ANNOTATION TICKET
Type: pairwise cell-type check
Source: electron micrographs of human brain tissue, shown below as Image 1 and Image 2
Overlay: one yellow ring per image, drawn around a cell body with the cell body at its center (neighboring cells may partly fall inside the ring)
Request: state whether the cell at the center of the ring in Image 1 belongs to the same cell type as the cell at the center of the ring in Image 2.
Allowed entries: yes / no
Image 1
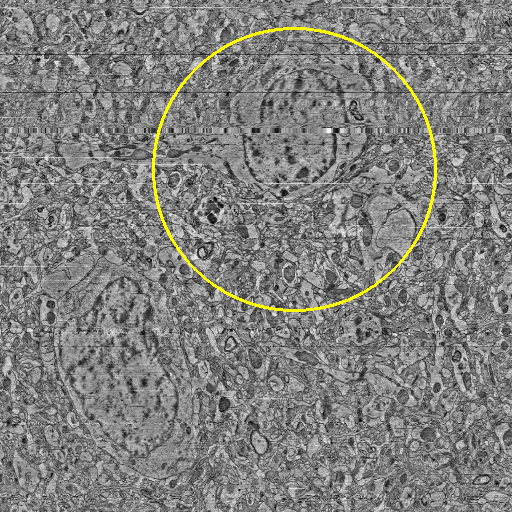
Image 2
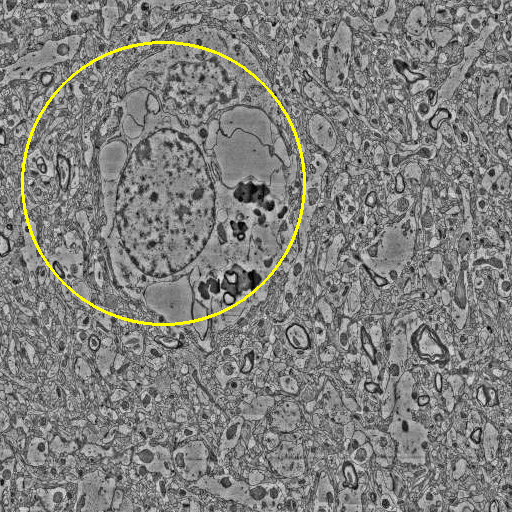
yes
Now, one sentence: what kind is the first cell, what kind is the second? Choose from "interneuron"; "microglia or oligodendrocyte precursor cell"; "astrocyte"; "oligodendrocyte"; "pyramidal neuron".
Each one of the two ringed cells is an astrocyte.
